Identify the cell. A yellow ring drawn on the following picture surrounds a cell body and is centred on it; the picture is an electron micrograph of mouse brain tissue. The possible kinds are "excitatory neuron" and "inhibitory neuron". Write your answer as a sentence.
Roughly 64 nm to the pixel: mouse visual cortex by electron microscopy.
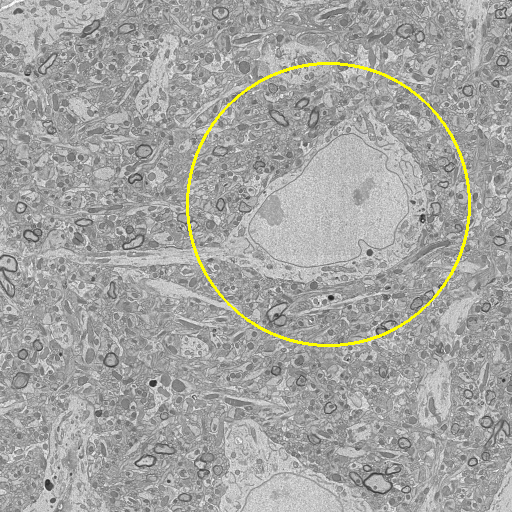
The cell identified by the ring is an excitatory neuron.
